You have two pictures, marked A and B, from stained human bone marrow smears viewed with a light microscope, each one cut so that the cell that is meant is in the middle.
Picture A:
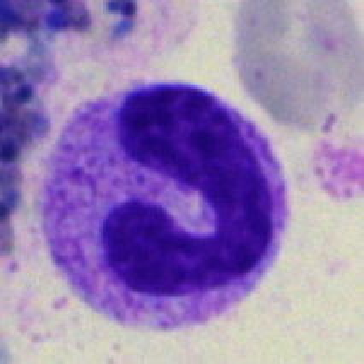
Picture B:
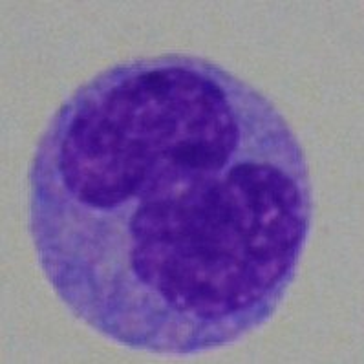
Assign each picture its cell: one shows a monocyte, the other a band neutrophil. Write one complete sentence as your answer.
Picture B shows a monocyte, while picture A shows a band neutrophil.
